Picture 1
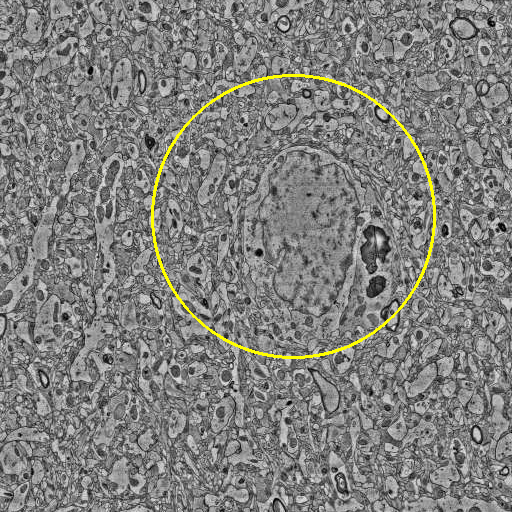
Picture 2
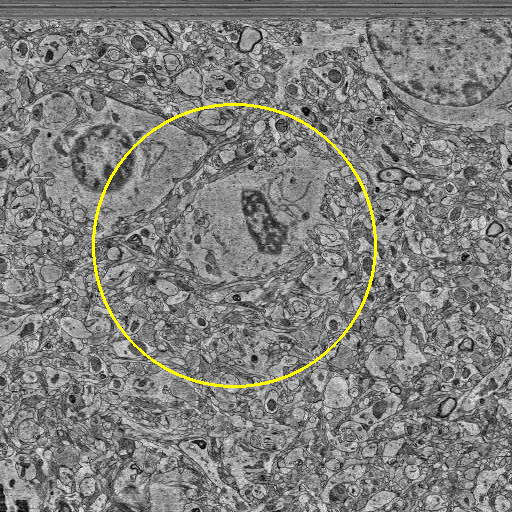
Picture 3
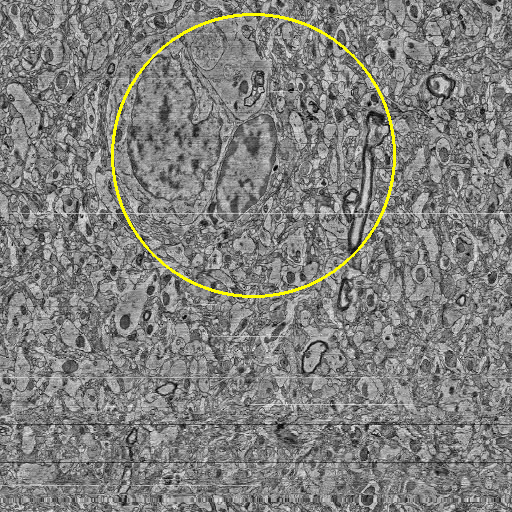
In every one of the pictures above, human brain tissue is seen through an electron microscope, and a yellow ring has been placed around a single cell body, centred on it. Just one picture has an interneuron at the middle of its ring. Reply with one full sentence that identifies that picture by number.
It is picture 1 that shows the wanted cell at its ring's centre.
